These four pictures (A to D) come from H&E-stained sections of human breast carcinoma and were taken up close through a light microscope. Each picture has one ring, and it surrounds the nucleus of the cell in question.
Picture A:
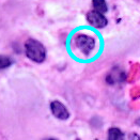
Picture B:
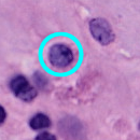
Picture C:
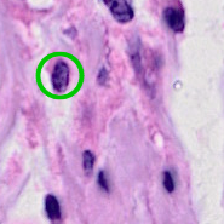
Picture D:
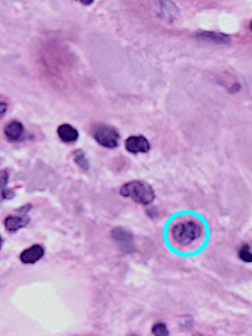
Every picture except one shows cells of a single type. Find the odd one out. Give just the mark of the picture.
A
